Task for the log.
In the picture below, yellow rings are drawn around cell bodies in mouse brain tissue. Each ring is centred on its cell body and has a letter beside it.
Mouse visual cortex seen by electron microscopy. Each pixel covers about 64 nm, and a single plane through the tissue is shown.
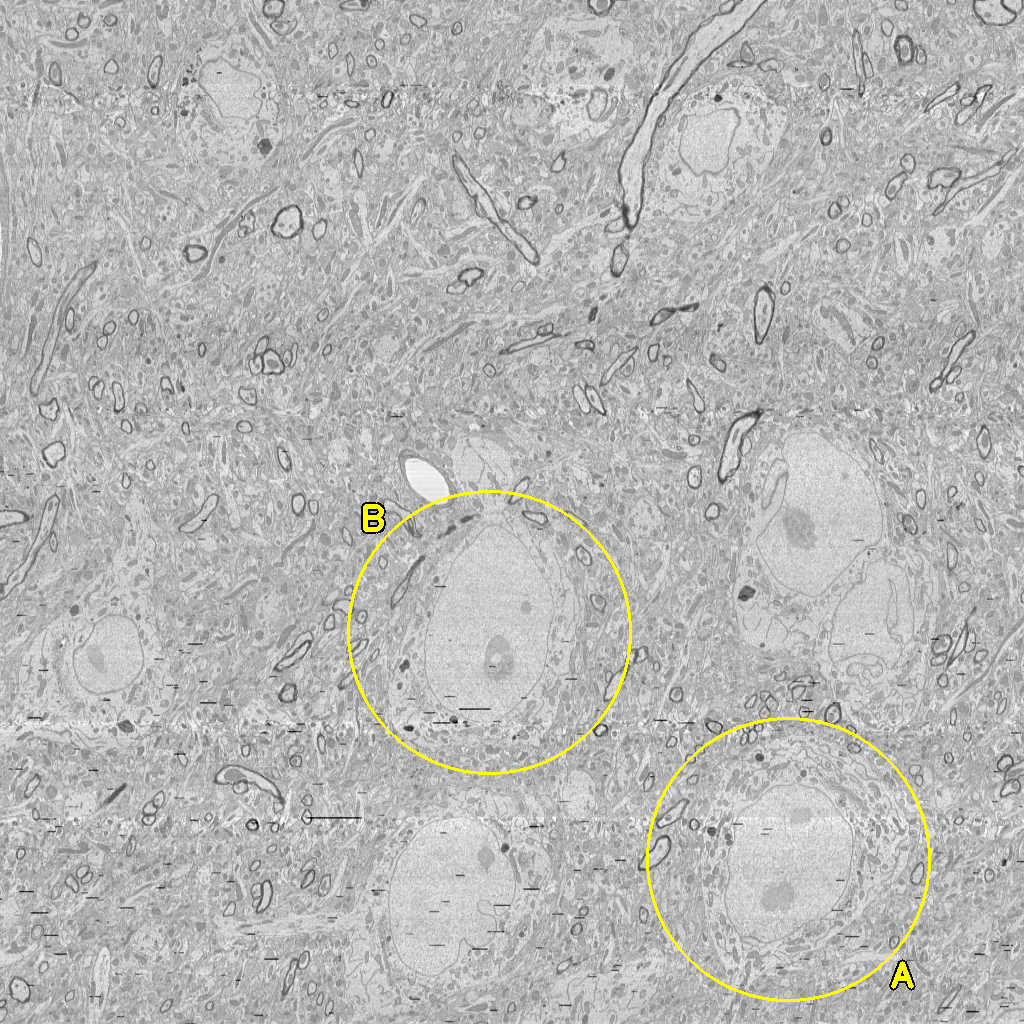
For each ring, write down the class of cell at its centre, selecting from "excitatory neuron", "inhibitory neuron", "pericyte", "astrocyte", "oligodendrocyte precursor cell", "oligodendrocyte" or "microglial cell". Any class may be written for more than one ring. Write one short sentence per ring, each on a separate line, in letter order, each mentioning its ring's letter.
The cell inside ring A, at its centre, is an inhibitory neuron.
The cell inside ring B, at its centre, is an excitatory neuron.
